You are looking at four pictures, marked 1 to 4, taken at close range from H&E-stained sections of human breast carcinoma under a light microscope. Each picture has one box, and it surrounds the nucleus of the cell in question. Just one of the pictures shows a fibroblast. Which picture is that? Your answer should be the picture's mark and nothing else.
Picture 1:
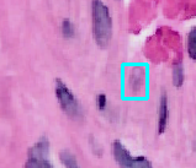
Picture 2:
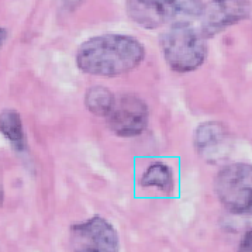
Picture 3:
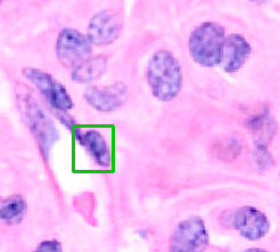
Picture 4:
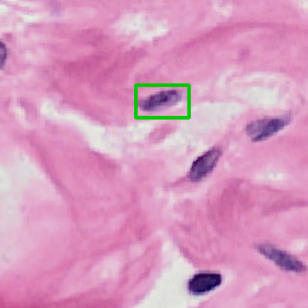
4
